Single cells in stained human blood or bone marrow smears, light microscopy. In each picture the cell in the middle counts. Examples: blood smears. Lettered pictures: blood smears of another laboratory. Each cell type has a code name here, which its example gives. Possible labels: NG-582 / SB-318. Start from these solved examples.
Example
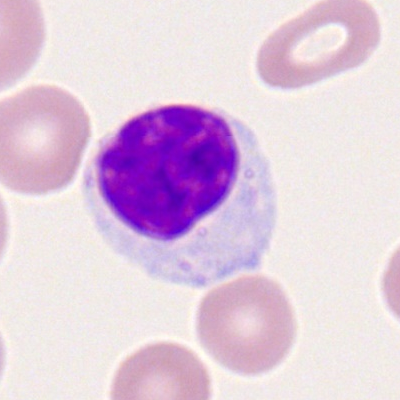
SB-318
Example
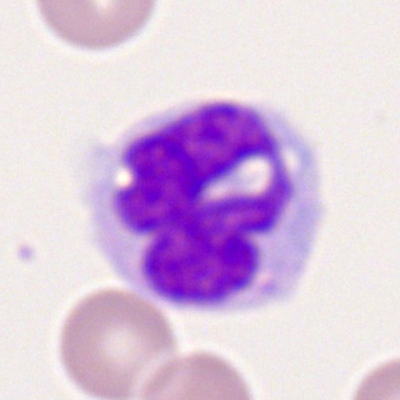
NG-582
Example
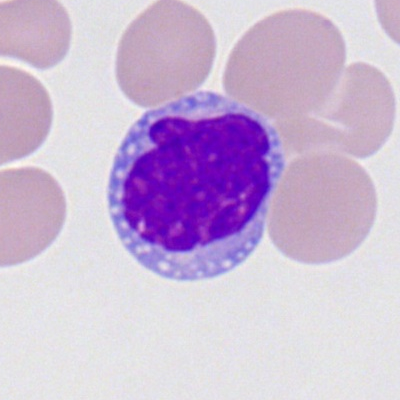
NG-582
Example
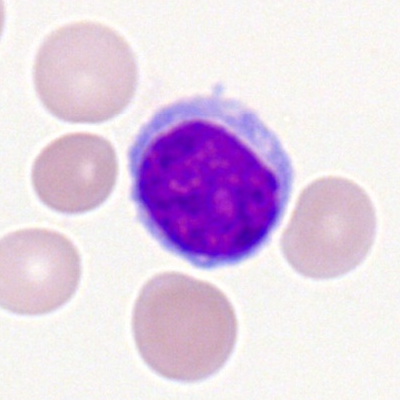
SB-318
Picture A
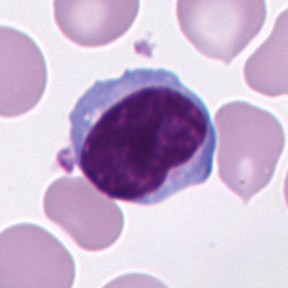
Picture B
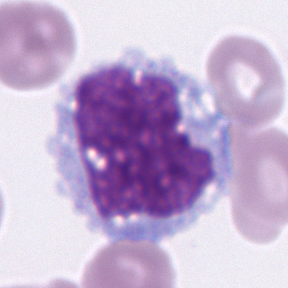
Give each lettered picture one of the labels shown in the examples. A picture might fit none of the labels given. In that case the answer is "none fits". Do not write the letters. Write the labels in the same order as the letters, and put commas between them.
SB-318, NG-582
